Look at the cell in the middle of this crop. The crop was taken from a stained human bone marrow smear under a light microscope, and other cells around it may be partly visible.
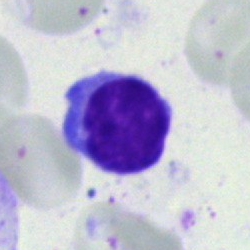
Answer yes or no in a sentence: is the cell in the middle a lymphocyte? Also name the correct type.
Yes, the central cell here is a lymphocyte.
